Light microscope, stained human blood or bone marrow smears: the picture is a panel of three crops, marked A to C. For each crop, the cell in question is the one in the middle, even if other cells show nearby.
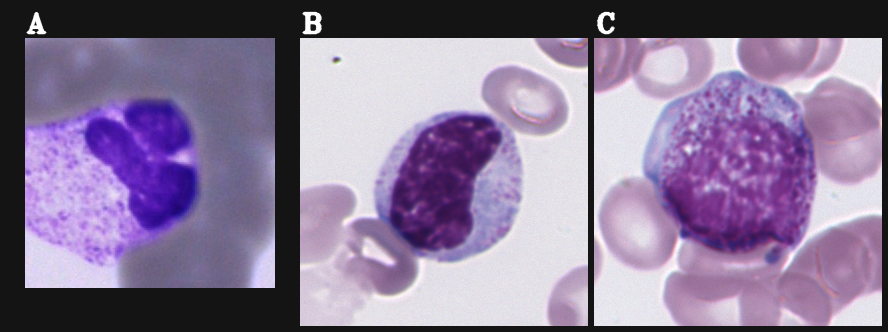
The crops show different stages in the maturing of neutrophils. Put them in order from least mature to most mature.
C, B, A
